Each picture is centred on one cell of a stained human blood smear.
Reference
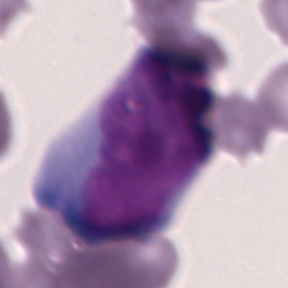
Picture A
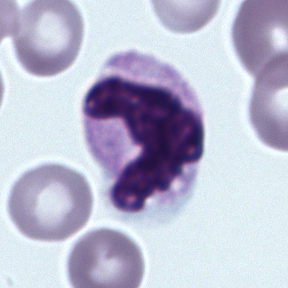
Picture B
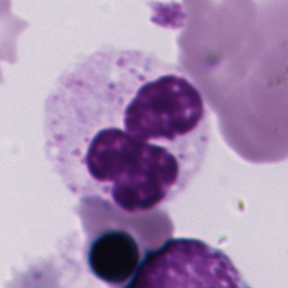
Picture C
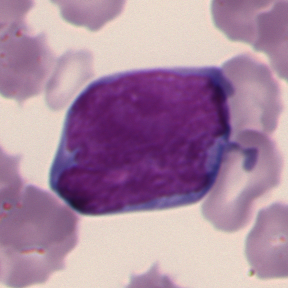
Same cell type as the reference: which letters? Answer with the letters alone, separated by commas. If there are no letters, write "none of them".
C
